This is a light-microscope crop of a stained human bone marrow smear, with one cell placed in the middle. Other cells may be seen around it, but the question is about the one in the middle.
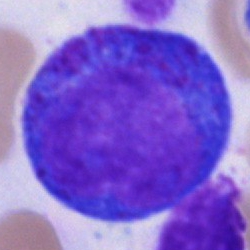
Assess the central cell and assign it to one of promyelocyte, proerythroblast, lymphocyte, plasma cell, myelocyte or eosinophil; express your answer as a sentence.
For this crop, the central cell is a promyelocyte.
